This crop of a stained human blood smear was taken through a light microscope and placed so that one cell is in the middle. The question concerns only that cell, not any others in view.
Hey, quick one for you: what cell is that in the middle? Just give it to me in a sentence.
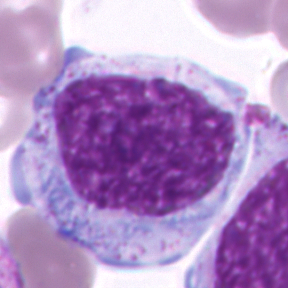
This crop is built around a promyelocyte at its centre.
